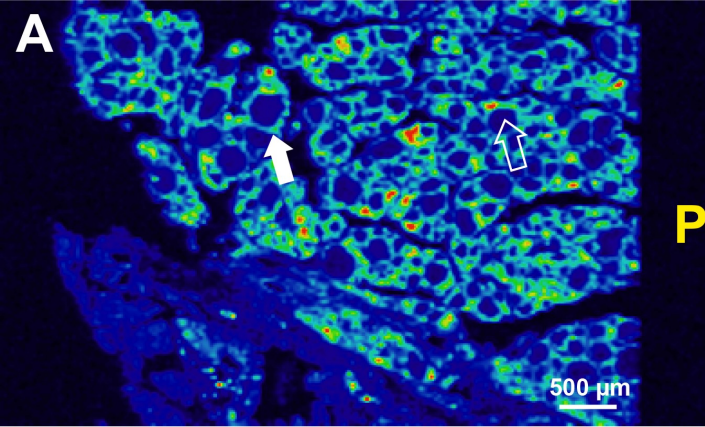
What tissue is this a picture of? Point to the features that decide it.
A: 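Thyroid. The tissue is made of closely packed rounded units with dark centres and bright rims. The units vary in size and are grouped into lobules separated by dark clefts.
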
